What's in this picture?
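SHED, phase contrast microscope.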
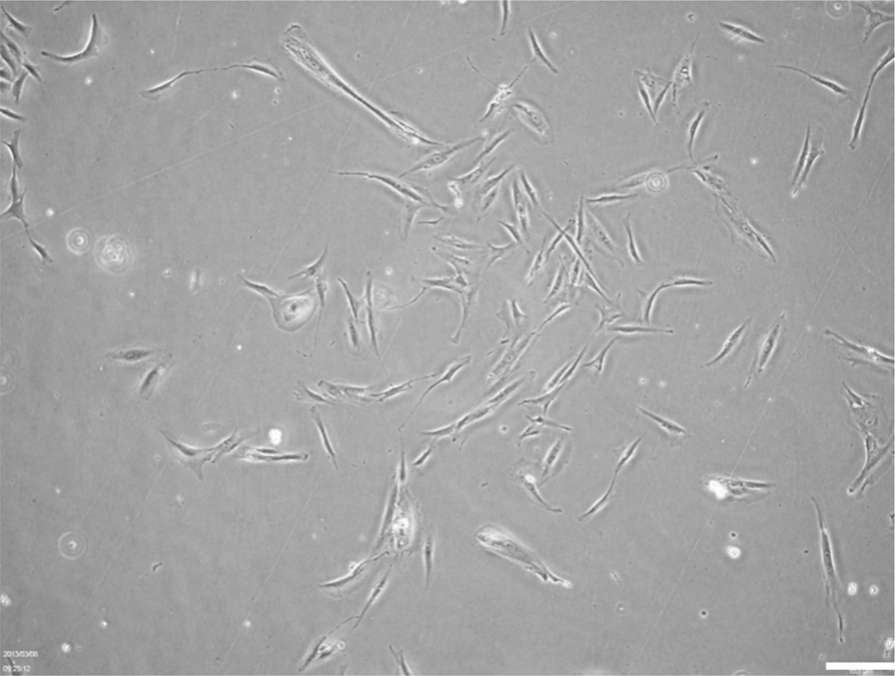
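These are sparse, sub-confluent adherent cultured cells with a fibroblast-like morphology. Most are elongated and spindle-shaped, with slender processes tapering from both ends. A few are broader and flattened, with an oval nucleus visible centrally. The cells lie scattered or in loose, randomly oriented clusters, with much open surface between them.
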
